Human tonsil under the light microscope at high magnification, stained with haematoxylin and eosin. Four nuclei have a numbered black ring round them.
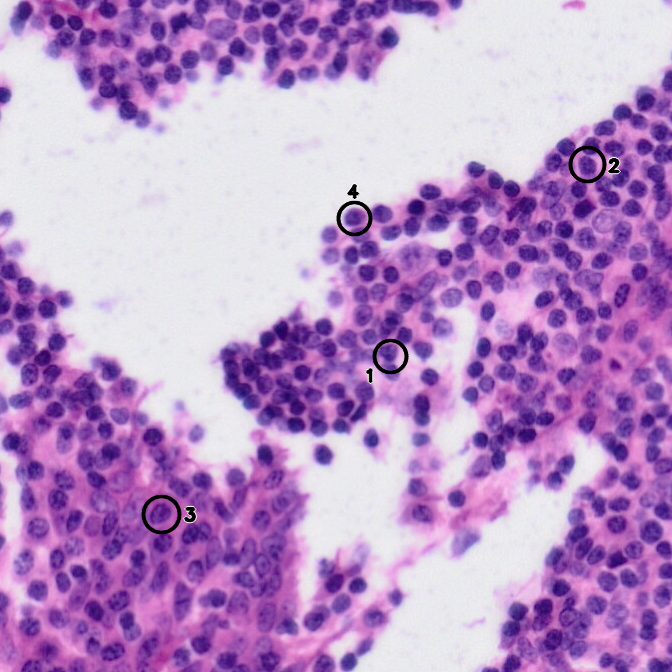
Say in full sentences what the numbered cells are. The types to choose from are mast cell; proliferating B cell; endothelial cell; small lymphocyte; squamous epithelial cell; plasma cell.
Cells 1, 2 and 4 are small lymphocytes. Cell 3 is a plasma cell.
